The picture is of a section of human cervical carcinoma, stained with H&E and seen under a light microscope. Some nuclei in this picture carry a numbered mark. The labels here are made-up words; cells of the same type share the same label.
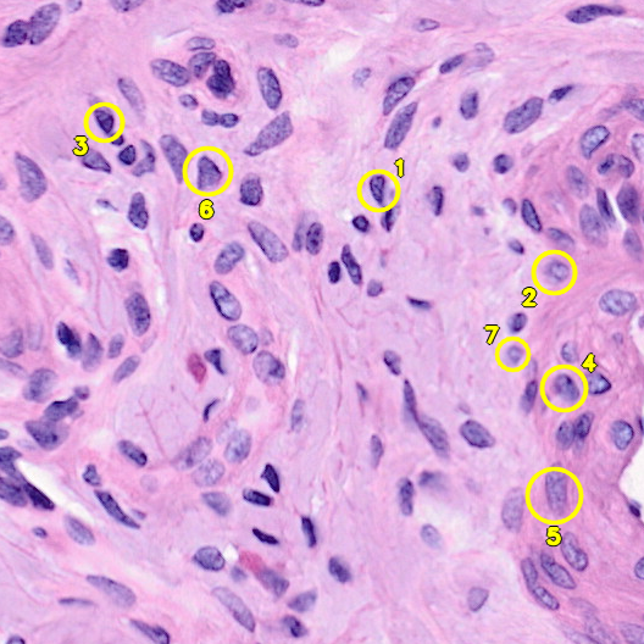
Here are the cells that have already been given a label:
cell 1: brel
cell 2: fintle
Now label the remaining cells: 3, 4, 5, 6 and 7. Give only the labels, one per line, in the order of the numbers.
brel
fintle
fintle
brel
fintle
